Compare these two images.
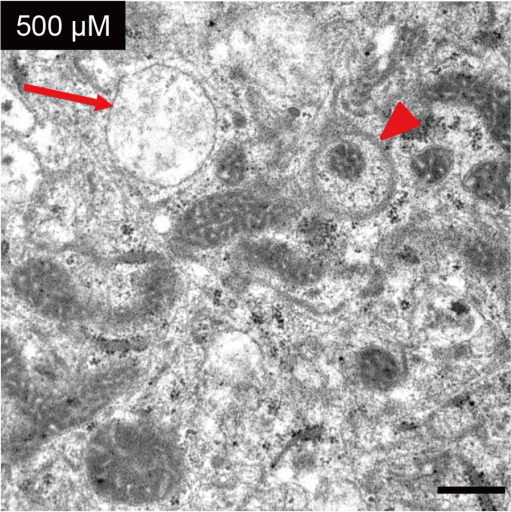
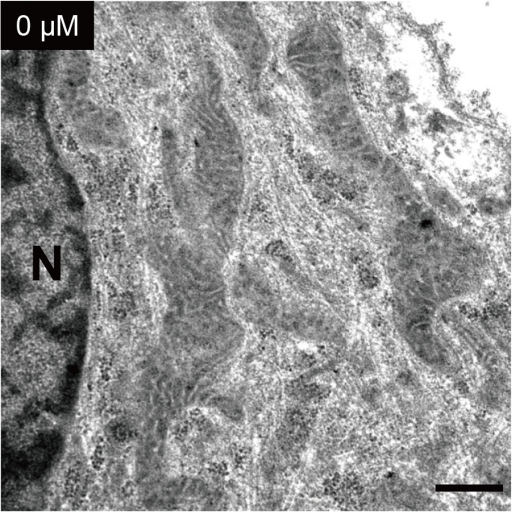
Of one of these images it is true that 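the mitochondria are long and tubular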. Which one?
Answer: The second image.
